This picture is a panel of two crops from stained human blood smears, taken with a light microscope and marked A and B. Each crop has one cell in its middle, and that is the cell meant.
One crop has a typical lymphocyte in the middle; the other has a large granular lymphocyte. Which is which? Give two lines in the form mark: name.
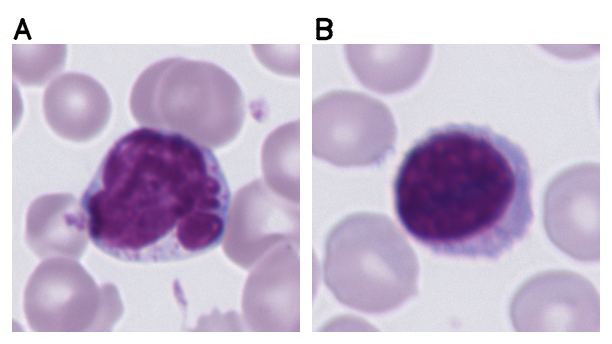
A: large granular lymphocyte
B: typical lymphocyte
